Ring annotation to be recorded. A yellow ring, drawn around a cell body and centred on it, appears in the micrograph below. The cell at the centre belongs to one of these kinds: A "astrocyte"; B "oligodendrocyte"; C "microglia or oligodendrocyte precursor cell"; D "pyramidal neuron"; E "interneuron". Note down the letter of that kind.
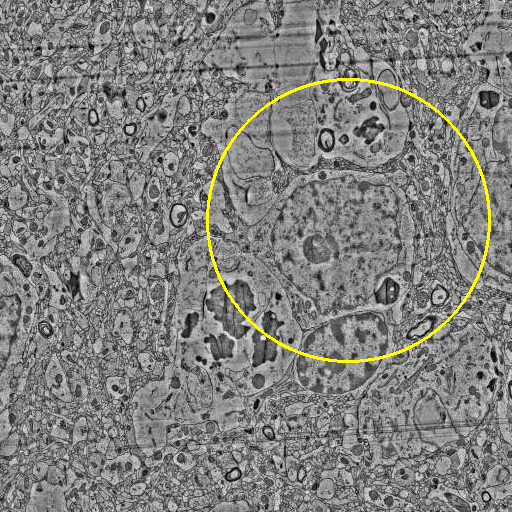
E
